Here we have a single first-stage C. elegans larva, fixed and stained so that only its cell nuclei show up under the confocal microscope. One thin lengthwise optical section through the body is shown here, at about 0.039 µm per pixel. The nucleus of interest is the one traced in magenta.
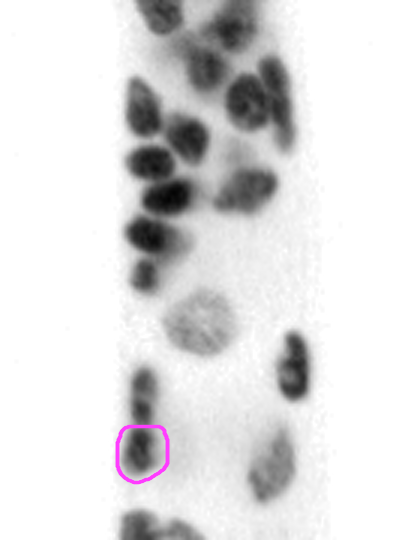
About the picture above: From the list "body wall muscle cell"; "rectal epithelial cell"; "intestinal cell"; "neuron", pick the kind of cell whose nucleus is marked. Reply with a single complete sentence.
It is the nucleus of a neuron.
